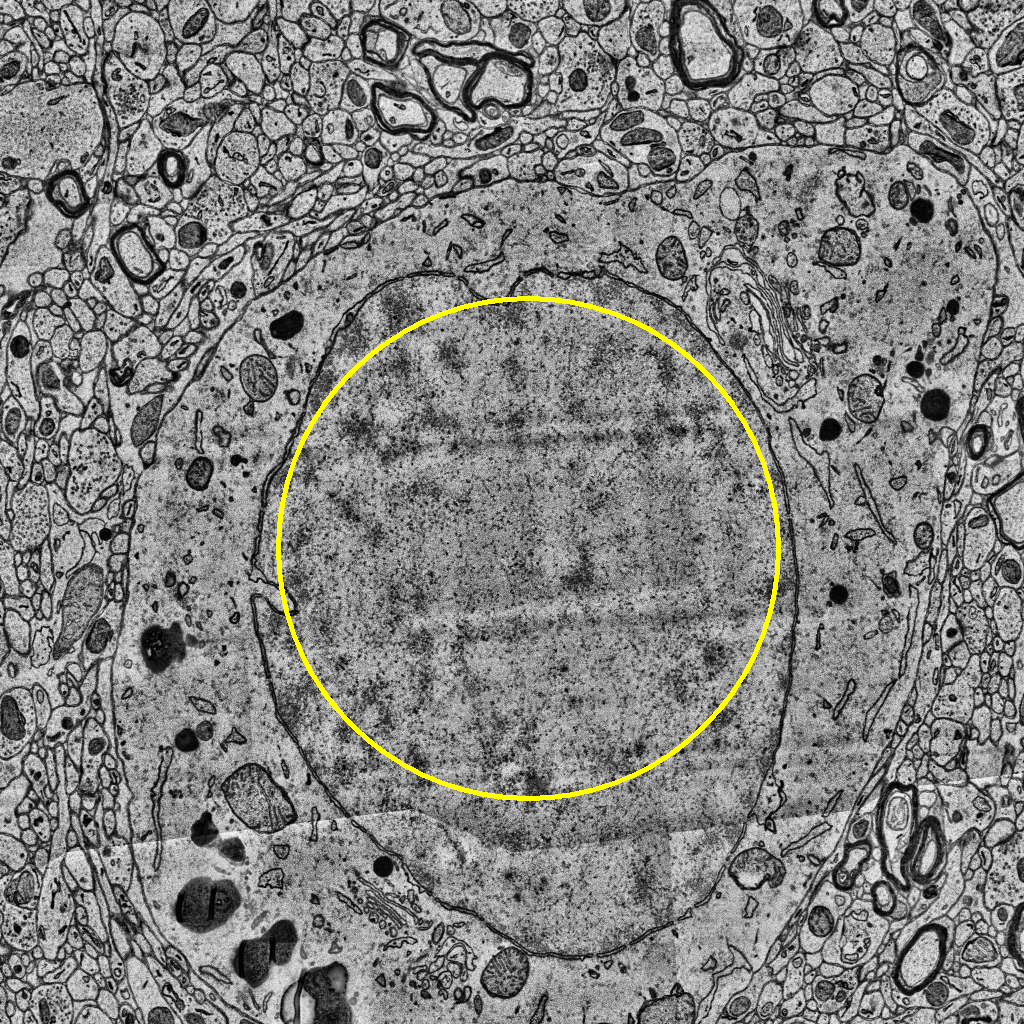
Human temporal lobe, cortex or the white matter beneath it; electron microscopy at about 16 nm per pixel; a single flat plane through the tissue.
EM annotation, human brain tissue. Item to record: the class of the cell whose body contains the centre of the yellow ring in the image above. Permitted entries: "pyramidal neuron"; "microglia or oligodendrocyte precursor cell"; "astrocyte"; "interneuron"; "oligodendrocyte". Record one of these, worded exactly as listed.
pyramidal neuron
